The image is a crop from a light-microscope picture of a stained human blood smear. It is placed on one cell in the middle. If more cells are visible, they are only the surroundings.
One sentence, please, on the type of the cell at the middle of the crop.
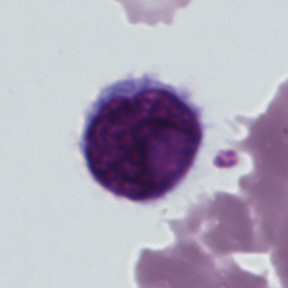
The middle of this crop holds a hairy cell.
